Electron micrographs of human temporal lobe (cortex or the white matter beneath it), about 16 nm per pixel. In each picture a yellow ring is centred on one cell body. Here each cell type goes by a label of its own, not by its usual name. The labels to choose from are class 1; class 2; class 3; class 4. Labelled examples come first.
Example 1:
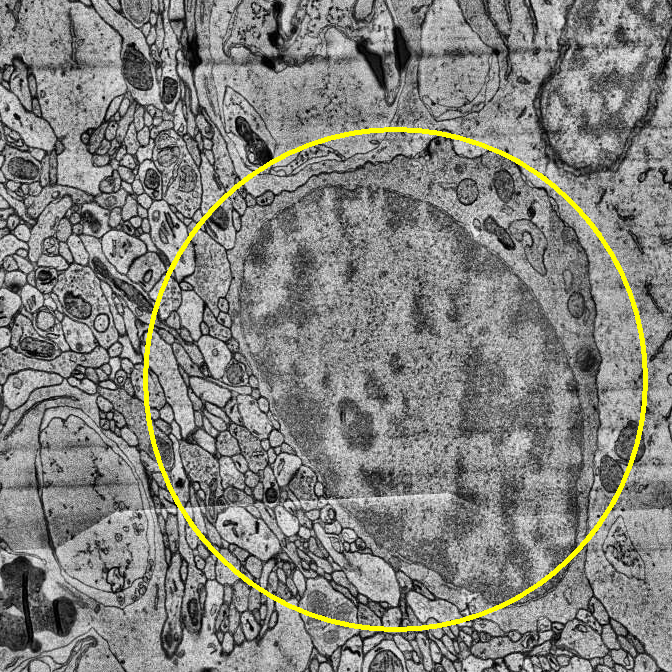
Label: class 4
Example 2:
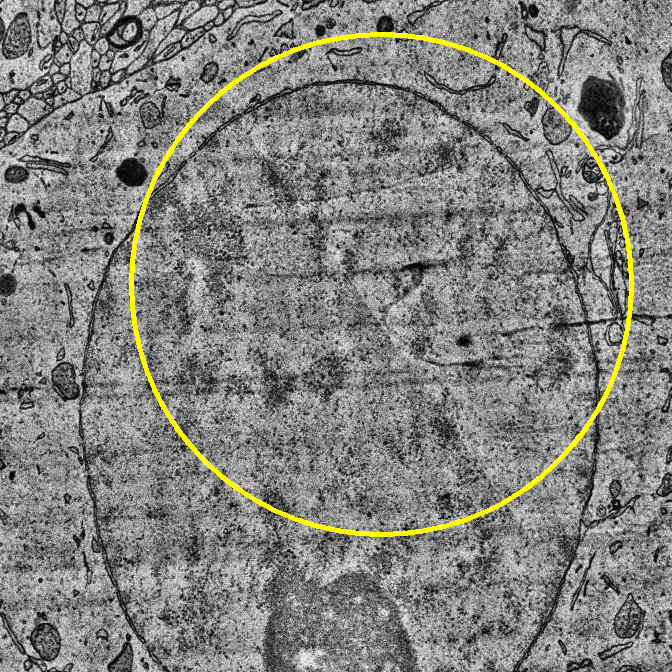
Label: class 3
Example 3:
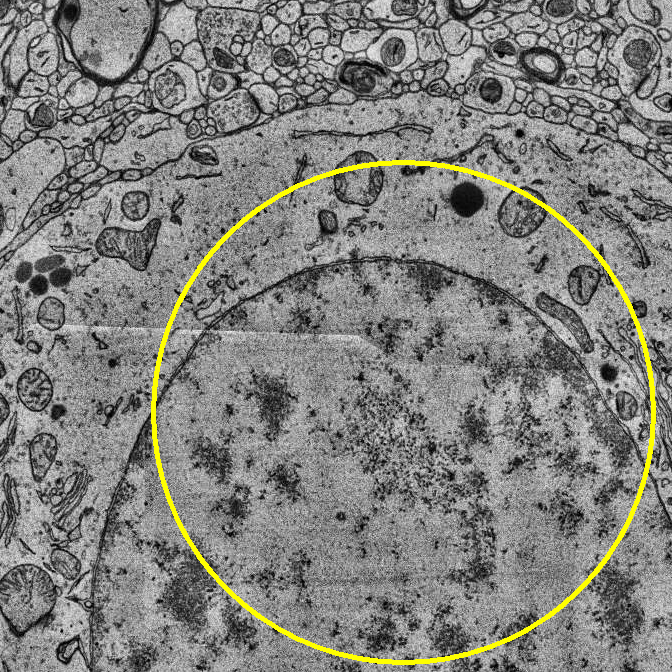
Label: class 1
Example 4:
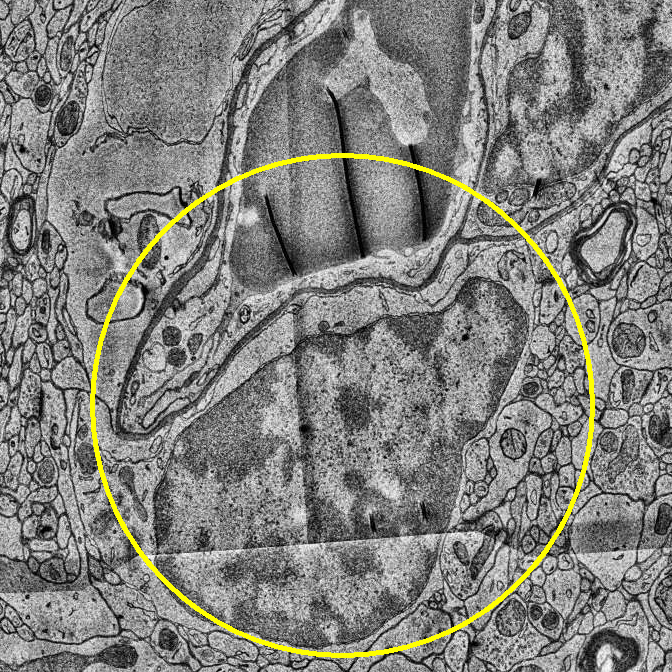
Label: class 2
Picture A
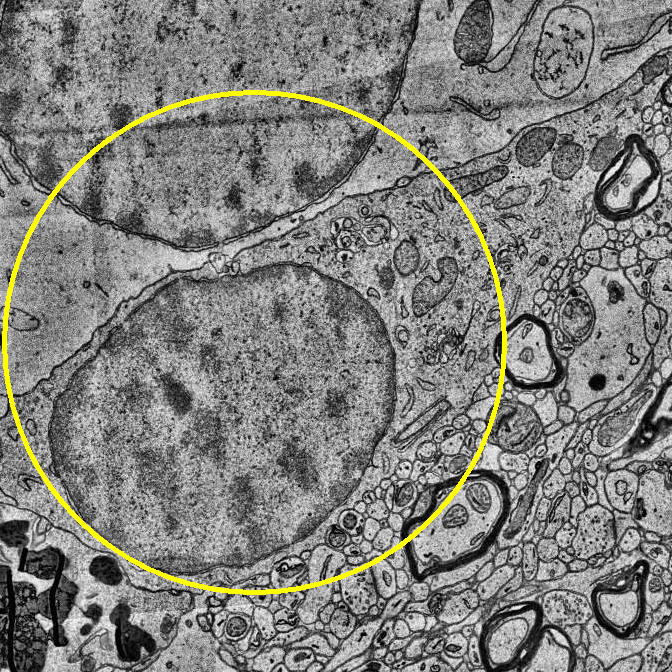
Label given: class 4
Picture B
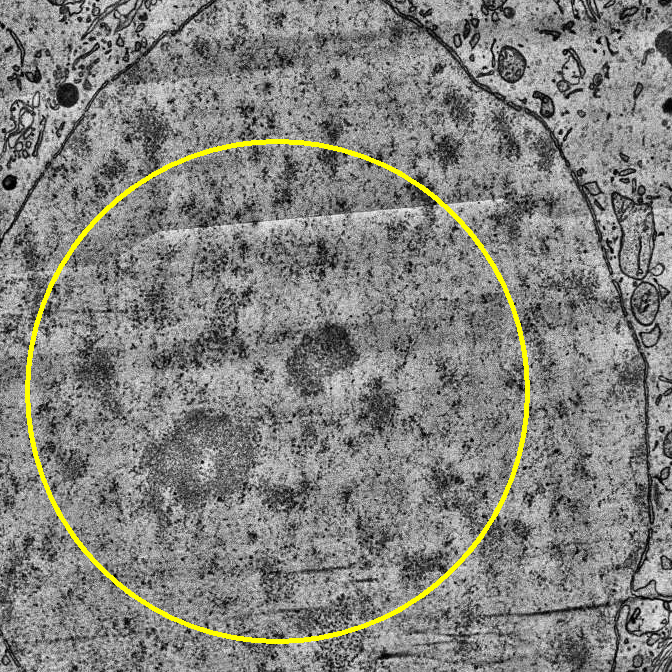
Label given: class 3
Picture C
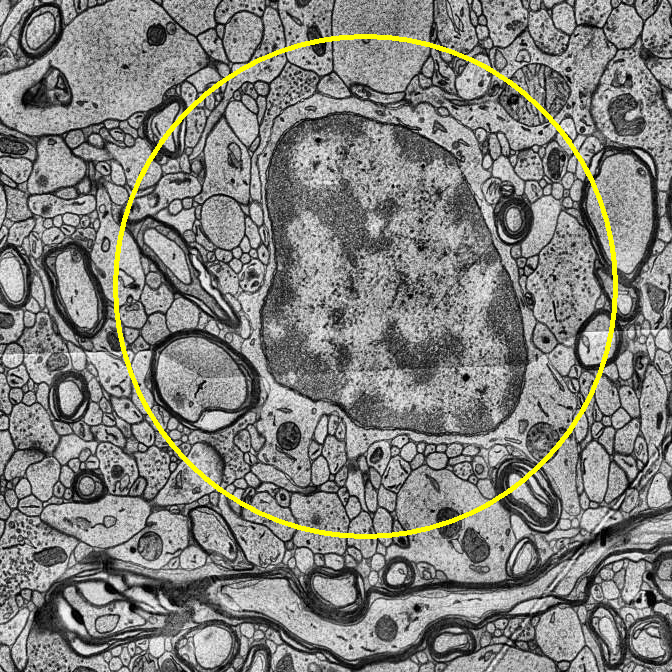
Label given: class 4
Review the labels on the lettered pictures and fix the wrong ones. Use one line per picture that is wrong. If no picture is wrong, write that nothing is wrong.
Wrong: C (class 4); correct: class 2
